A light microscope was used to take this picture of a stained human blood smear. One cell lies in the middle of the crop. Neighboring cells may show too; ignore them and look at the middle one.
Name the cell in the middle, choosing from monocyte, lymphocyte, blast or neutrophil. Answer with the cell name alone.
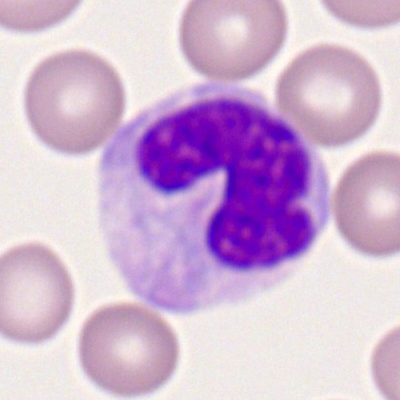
monocyte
